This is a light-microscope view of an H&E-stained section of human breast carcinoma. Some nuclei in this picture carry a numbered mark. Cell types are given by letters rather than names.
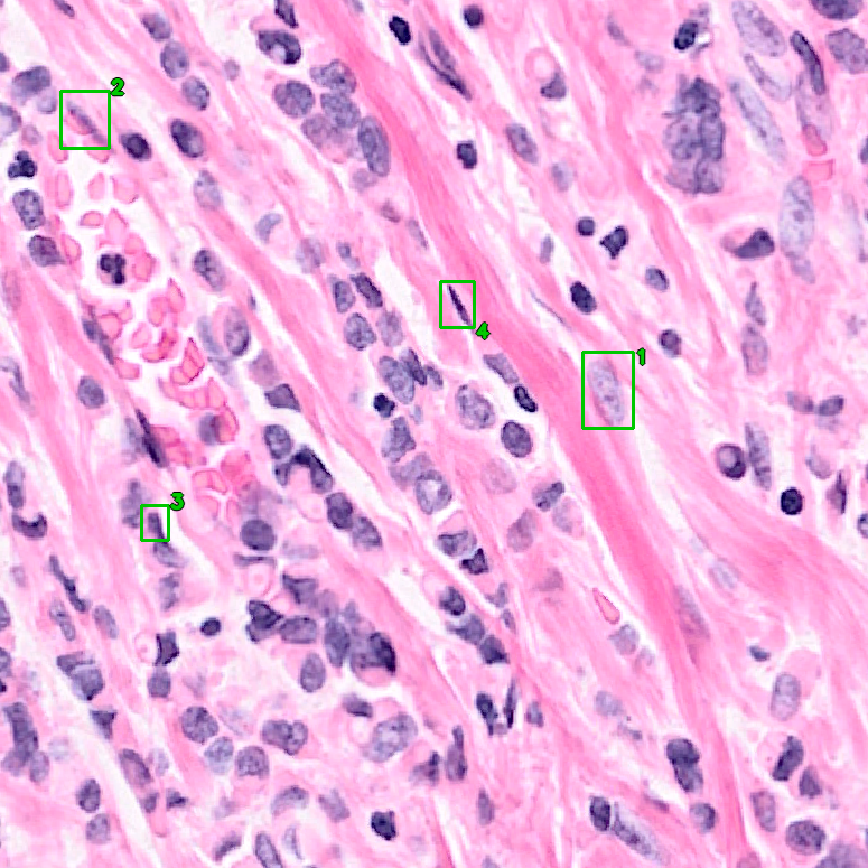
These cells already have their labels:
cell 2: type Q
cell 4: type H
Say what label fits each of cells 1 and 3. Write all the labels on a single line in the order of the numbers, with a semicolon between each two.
type H; type Q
